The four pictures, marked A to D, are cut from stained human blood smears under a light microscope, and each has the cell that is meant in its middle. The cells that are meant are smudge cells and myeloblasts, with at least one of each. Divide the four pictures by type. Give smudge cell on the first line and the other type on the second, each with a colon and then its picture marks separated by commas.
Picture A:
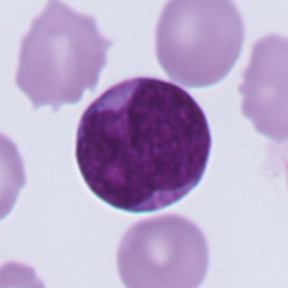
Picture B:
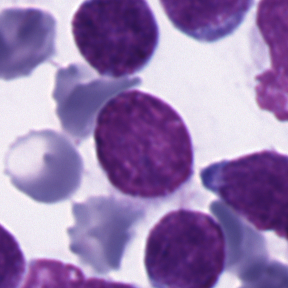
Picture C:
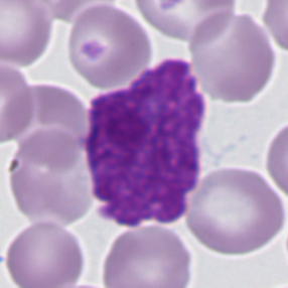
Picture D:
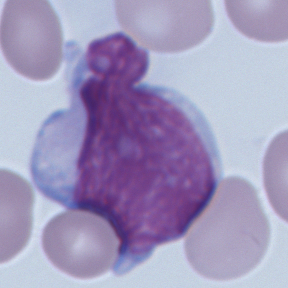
smudge cell: C
myeloblast: A, B, D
